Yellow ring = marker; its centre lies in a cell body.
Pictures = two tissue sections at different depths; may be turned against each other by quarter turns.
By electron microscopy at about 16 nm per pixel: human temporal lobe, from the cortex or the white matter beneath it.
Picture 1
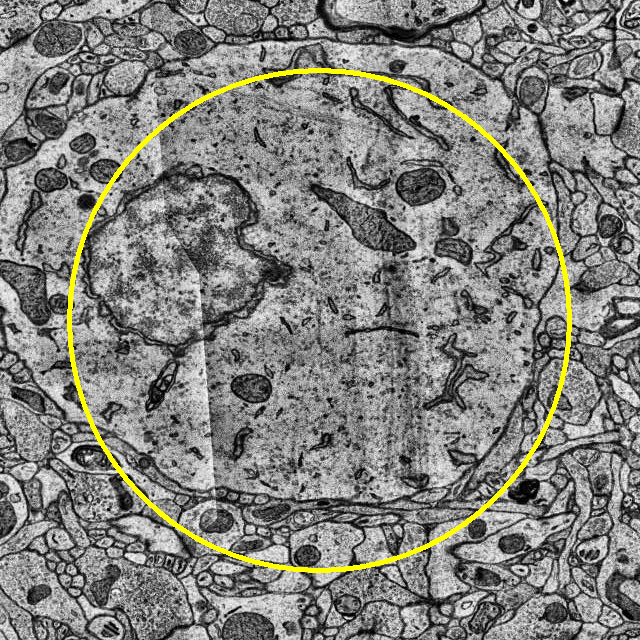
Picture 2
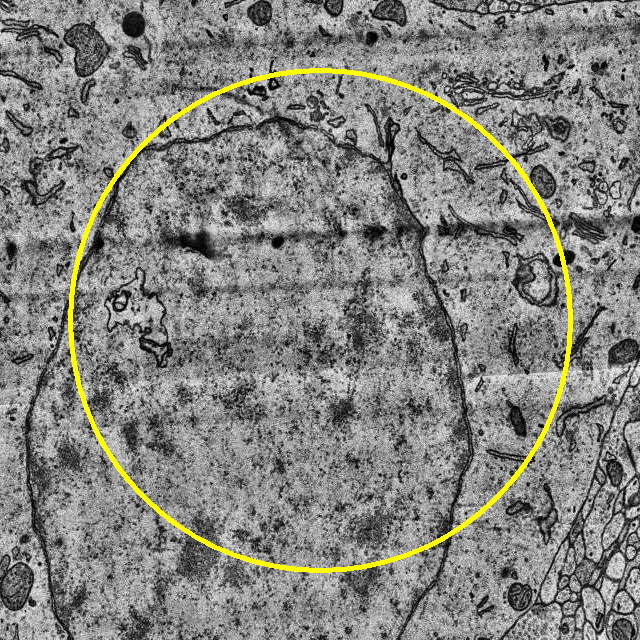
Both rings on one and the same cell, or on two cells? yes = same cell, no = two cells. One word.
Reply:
yes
